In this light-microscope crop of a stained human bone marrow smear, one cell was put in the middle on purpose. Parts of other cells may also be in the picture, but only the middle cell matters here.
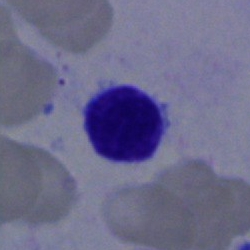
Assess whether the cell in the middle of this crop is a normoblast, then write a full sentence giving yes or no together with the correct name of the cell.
No, the central cell does not represent a normoblast, but a lymphocyte.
